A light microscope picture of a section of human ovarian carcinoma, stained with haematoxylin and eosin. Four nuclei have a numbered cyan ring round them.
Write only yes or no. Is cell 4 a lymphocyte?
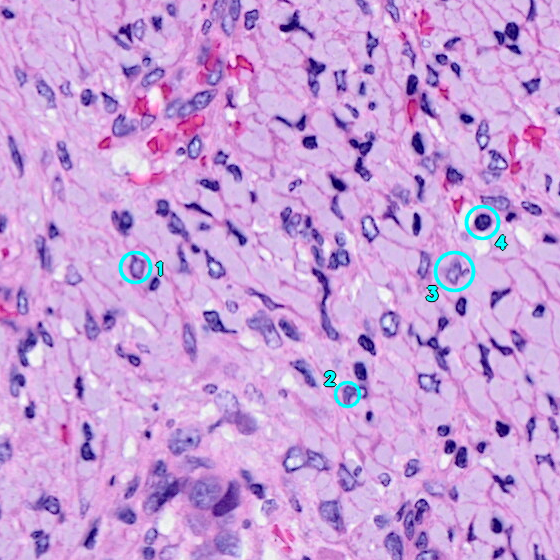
yes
